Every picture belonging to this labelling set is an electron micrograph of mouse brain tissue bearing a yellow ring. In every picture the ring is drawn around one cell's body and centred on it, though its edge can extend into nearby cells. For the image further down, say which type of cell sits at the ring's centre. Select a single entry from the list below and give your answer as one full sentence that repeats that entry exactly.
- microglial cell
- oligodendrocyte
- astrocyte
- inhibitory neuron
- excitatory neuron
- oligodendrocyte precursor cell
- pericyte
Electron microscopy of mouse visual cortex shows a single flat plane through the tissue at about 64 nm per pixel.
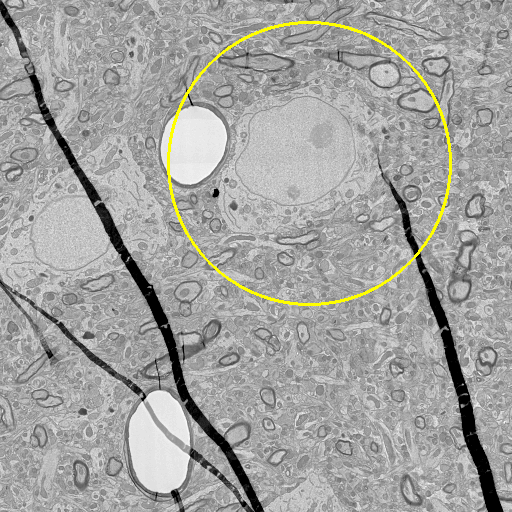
In the picture, an excitatory neuron is the cell at the centre of the yellow ring.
